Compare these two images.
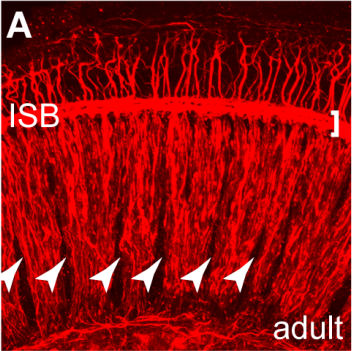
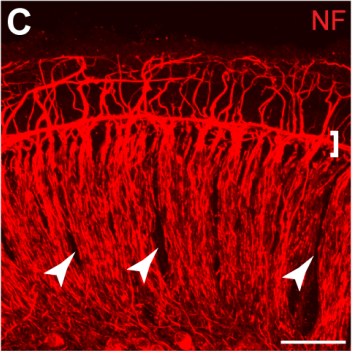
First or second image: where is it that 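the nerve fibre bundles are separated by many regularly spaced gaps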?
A: The first image.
